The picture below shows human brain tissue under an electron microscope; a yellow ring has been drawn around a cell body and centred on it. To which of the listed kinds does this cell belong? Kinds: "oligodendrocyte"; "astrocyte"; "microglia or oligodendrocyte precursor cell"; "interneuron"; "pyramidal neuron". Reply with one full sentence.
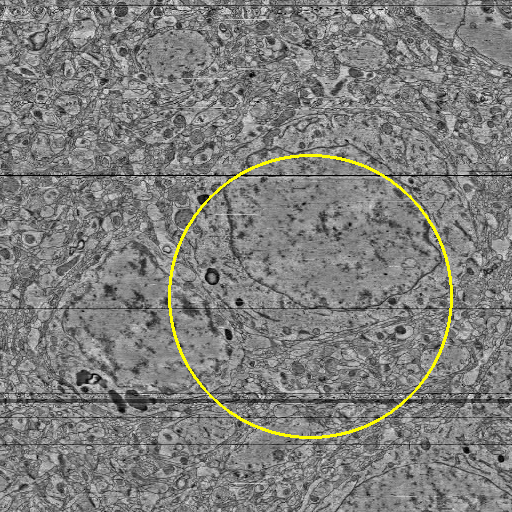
It is a pyramidal neuron that the yellow ring in the picture is centred on.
